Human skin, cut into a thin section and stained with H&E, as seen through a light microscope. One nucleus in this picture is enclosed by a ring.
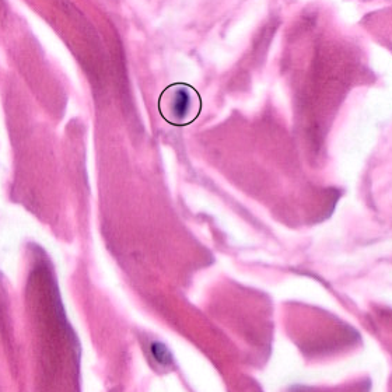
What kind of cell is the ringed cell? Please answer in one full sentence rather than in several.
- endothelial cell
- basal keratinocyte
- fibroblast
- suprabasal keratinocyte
In the stained section, the ringed cell is a fibroblast.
